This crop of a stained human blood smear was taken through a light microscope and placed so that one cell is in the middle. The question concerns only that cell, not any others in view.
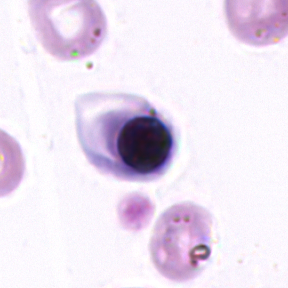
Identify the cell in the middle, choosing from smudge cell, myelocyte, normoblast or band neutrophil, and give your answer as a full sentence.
The cell in the middle of this crop is a normoblast.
